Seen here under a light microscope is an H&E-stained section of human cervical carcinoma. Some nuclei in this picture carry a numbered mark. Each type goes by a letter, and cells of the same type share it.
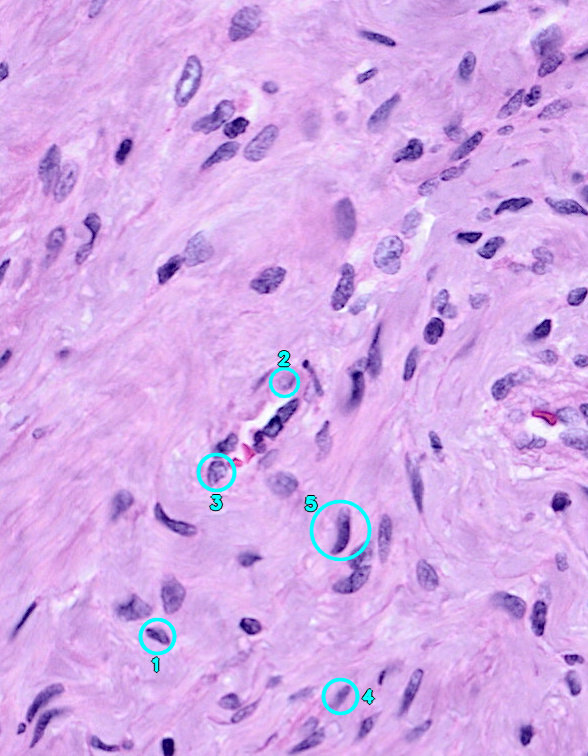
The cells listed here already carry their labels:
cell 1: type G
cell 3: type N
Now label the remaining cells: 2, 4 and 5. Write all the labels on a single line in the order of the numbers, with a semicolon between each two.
type N; type G; type G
